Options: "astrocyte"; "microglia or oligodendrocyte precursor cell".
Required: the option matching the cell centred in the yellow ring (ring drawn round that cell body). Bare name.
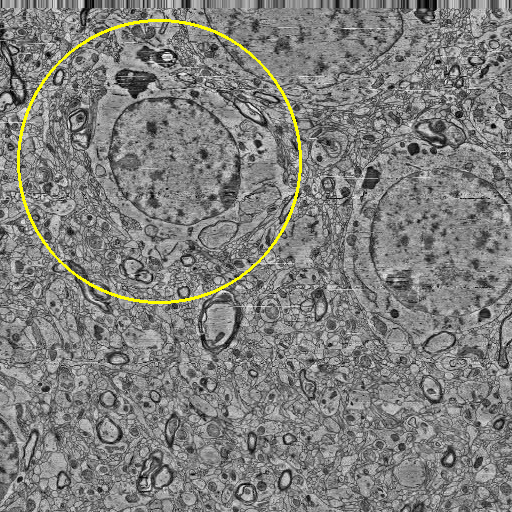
astrocyte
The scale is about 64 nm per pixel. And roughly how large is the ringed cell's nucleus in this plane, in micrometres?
In this plane the nucleus measures roughly 9 by 8 micrometers.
